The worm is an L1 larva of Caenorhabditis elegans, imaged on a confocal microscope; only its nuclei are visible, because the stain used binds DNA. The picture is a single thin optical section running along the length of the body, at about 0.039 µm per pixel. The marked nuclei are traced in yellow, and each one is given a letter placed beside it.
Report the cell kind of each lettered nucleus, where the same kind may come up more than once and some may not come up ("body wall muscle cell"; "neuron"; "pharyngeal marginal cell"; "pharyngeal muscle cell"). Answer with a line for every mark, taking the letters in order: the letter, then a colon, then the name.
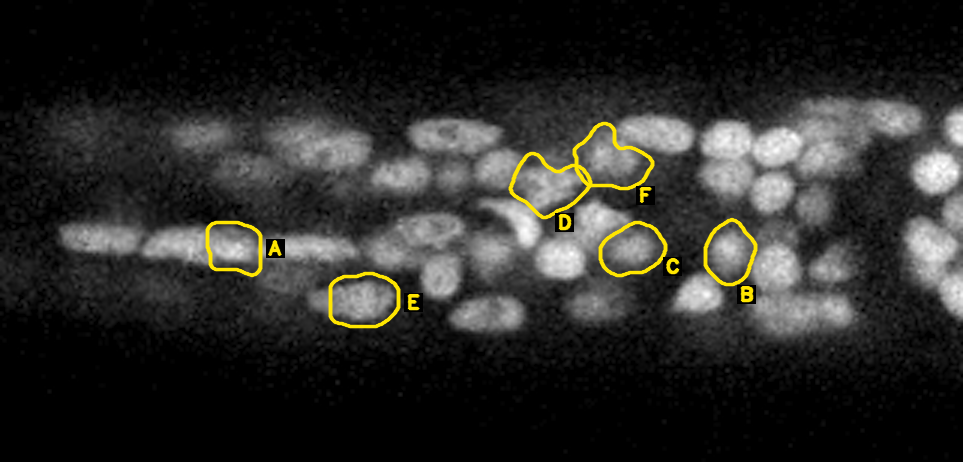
A: pharyngeal muscle cell
B: neuron
C: neuron
D: pharyngeal marginal cell
E: body wall muscle cell
F: pharyngeal muscle cell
